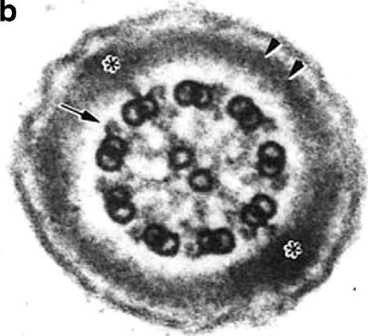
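A cross-section of a sperm tail shows the axoneme: nine doublet microtubules, each a pair of small fused rings, arranged in a circle around a central pair of single microtubules. Fine spokes run from the doublets toward the centre, and small arms project from each doublet toward its neighbour. Around the axoneme a dense, ring-shaped fibrous sheath lies just beneath the plasma membrane; it is thickened at two opposite points as lateral columns and thinner between them, where ribs run around the circumference. The whole profile is round and evenly built.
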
